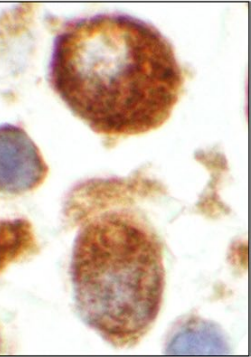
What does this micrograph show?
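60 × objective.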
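Rounded cells have their cytoplasm packed with coarse dark brown granules, so the cell bodies appear almost solidly brown. Beside them a smaller cell with a blue nucleus remains unstained, and scattered brown granular debris lies in the pale background.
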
